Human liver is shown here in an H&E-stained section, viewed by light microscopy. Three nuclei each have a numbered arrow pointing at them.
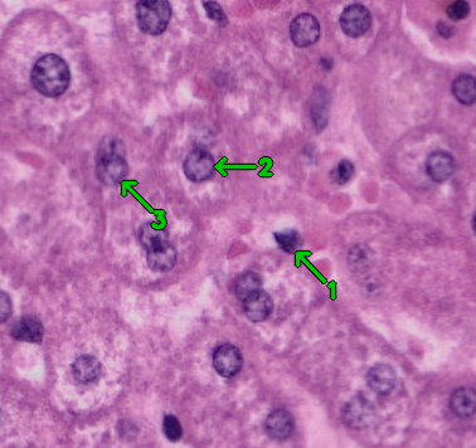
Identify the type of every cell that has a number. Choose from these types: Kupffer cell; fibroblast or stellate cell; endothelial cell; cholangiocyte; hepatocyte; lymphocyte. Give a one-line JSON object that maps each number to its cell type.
{"1": "endothelial cell", "2": "hepatocyte", "3": "hepatocyte"}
